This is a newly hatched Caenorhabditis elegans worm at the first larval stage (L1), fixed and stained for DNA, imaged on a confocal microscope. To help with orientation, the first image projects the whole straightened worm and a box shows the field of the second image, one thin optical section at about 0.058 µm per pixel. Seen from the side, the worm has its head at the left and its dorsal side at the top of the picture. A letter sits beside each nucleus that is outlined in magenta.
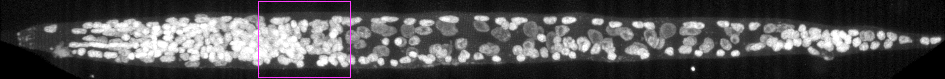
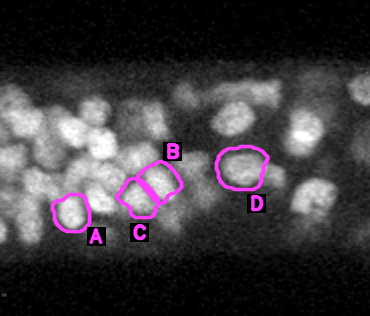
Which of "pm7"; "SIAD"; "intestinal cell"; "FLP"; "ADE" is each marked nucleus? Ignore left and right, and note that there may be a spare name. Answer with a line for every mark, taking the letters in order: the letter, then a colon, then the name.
A: SIAD
B: ADE
C: FLP
D: pm7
